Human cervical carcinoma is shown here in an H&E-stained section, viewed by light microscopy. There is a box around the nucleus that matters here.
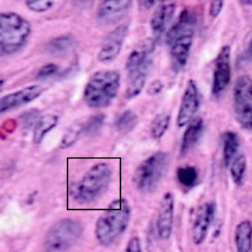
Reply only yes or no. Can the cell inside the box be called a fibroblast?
no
